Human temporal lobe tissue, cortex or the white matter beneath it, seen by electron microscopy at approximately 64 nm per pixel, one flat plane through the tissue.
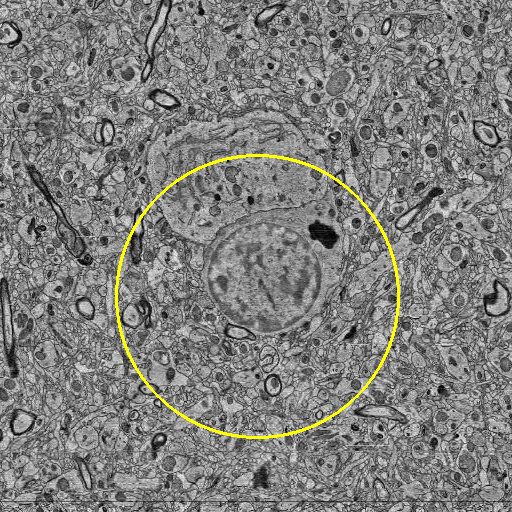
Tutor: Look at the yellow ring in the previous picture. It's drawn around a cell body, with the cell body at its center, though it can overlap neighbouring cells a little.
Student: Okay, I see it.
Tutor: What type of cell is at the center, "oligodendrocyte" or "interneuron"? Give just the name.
oligodendrocyte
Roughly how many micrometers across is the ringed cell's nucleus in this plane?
Approximately 7 micrometres across in this plane.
